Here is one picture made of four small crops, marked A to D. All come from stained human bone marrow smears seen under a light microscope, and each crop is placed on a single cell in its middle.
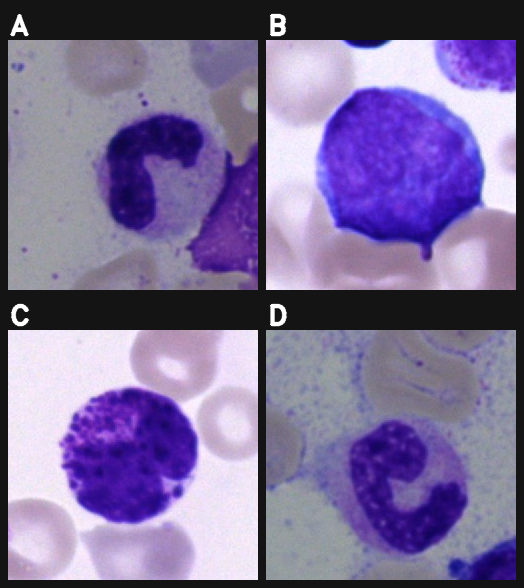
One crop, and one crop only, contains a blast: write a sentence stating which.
Crop B is the crop featuring a blast at its center.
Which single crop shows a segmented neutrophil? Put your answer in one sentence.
Only in crop A is a segmented neutrophil shown.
